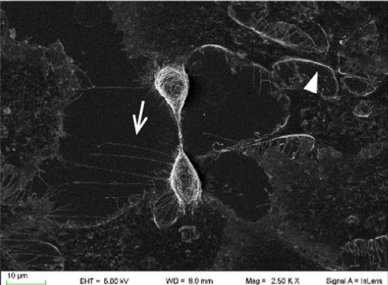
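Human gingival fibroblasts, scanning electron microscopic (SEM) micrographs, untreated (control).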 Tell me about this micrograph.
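Fans of very fine parallel threads, the filopodia, stretch out across the surface from the cells. The spread cells have thin, curved ruffled margins forming lamellipodia.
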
